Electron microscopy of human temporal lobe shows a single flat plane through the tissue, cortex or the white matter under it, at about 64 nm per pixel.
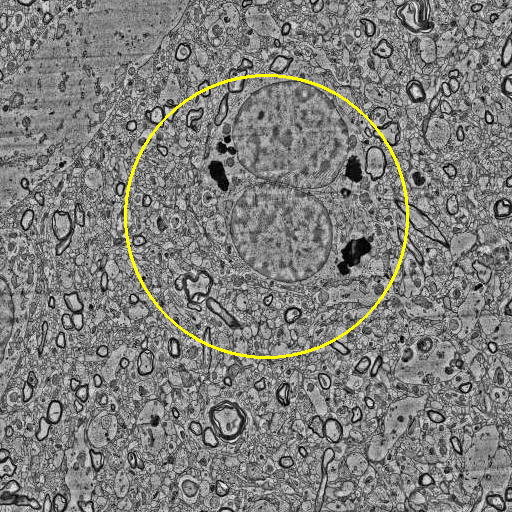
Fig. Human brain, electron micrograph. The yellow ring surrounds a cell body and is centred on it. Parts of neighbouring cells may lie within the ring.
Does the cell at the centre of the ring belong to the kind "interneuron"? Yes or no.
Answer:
no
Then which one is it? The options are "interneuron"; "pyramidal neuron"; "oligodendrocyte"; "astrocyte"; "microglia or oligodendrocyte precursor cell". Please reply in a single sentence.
The cell this ring marks is an oligodendrocyte.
